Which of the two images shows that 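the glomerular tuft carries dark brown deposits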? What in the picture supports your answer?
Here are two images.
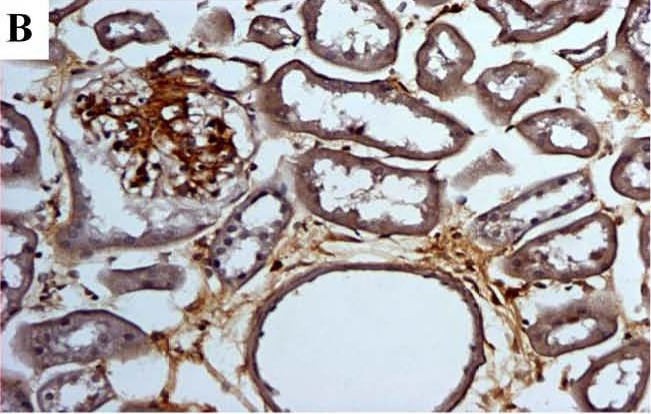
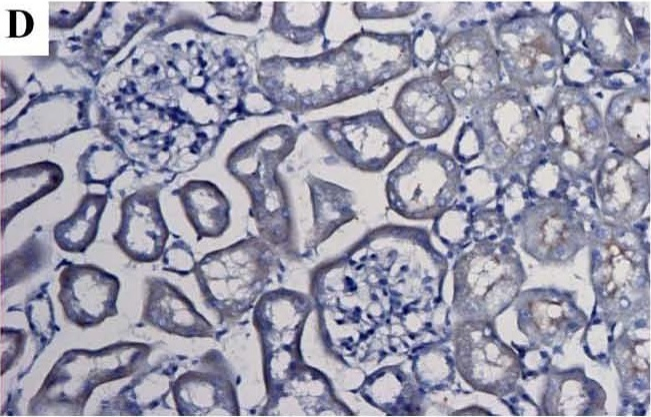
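The first image. Second image: the glomeruli show only blue nuclei with no brown deposits. First image: a glomerulus at upper left is filled with dense dark brown deposits.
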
